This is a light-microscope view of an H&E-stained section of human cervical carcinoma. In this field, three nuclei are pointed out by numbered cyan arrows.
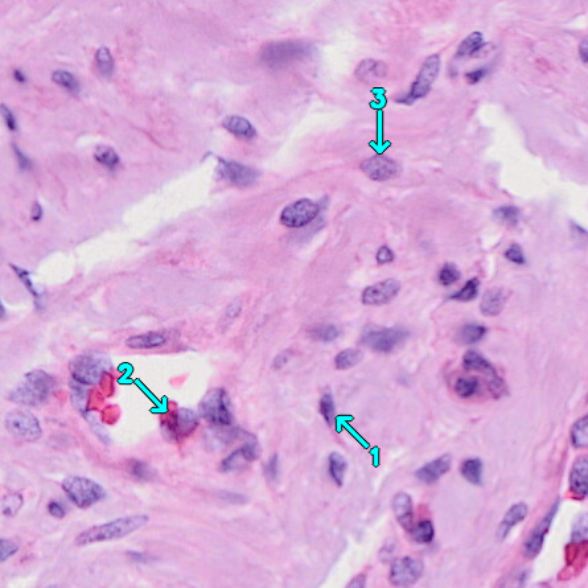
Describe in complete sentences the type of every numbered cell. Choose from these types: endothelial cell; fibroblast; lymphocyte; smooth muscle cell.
Cell 1 is a fibroblast, cell 2 is an endothelial cell and cell 3 is a fibroblast.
